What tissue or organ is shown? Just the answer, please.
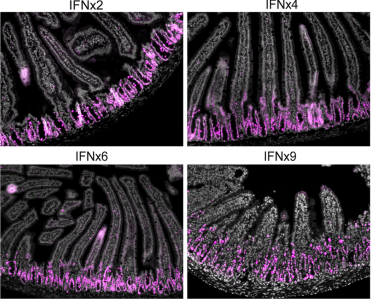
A: Small intestine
